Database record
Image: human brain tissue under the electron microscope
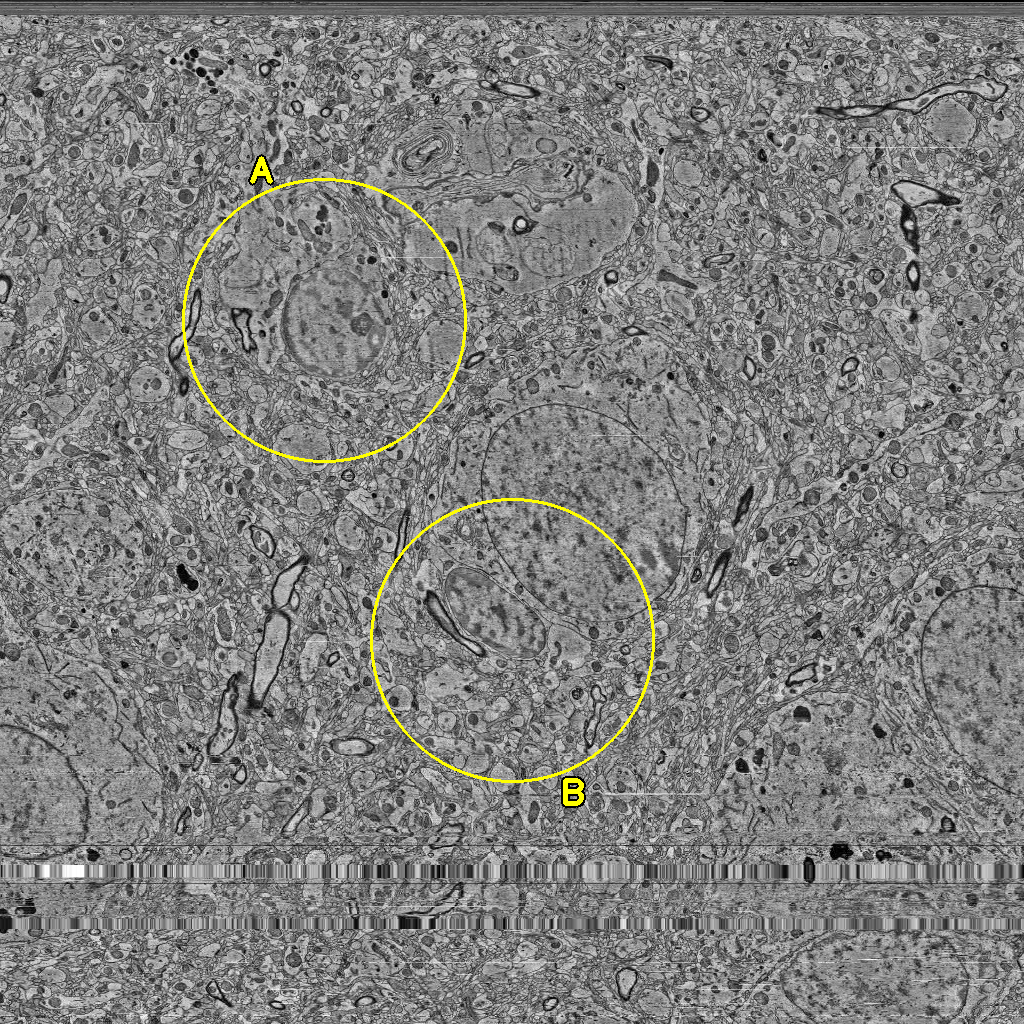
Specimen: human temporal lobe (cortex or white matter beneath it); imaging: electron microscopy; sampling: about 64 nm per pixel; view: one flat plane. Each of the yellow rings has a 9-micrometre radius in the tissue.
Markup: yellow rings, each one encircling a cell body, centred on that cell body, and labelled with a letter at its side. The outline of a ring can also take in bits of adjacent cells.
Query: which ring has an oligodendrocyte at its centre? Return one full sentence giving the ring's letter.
In this image, that kind of cell lies at the centre of the ring labelled A.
